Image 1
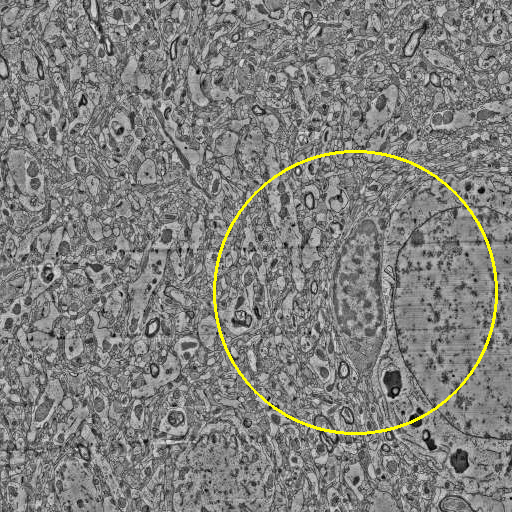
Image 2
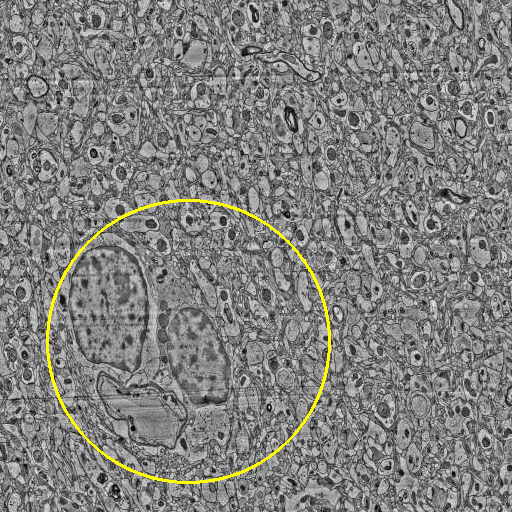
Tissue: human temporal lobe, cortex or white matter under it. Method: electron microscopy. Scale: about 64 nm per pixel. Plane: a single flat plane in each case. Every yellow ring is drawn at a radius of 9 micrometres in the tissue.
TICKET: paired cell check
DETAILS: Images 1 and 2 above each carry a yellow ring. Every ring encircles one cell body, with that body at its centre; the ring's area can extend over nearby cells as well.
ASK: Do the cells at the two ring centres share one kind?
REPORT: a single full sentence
Yes, the ring-centre cells of Images 1 and 2 belong to a single kind.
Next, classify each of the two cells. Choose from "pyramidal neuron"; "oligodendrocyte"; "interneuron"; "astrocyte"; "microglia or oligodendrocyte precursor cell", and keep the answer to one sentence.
The cell at the ring centre is an oligodendrocyte in both pictures.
